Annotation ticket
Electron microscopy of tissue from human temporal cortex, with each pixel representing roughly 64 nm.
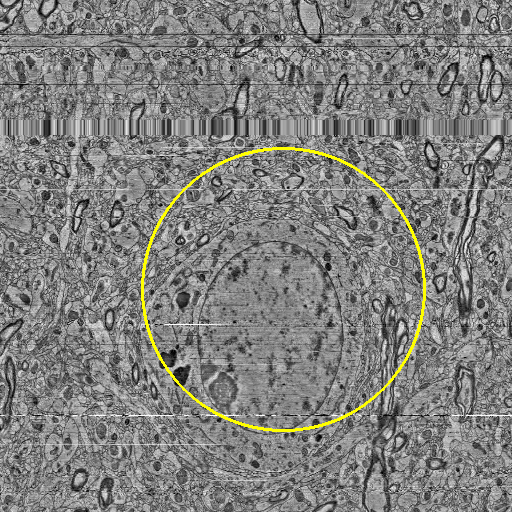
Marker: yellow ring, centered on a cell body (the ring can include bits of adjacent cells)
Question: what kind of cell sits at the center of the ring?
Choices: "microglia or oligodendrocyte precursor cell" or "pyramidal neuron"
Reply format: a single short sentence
The ring is centered on a pyramidal neuron.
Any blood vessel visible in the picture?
No, there is no blood vessel.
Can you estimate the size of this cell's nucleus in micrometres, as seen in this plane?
In this plane, the nucleus of the cell at the centre of the ring measures about 13 by 9 micrometres.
